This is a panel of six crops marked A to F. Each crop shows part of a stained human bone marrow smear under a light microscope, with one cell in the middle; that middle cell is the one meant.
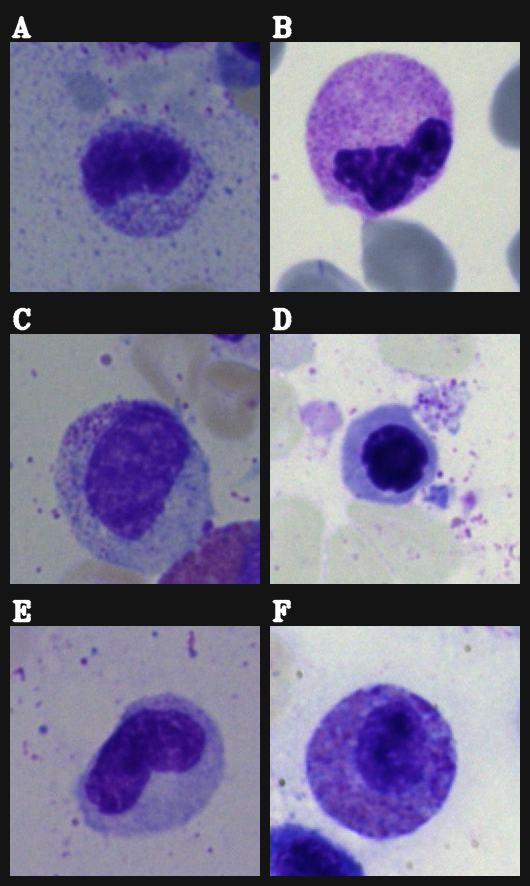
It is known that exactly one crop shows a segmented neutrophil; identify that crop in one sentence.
Look at crop B; that is the one with a segmented neutrophil in its center.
